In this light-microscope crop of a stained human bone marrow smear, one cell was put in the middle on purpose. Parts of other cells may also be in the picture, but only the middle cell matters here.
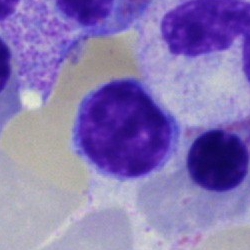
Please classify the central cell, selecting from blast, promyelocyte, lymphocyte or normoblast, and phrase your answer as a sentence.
The middle cell in this particular crop is a lymphocyte.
